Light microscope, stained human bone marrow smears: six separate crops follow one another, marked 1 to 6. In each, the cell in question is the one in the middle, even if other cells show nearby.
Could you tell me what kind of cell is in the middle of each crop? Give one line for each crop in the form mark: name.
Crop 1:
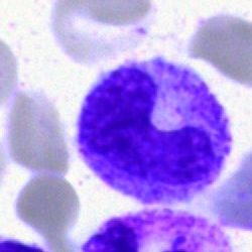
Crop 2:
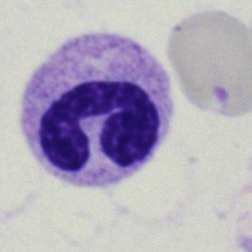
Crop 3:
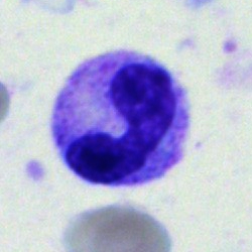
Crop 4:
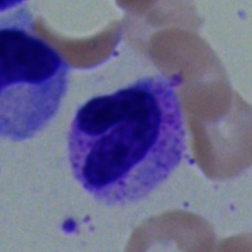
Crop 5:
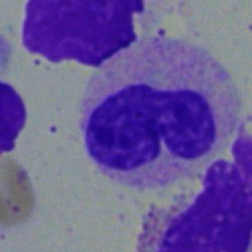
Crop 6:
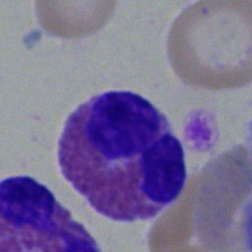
1: band neutrophil
2: segmented neutrophil
3: band neutrophil
4: band neutrophil
5: band neutrophil
6: eosinophil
